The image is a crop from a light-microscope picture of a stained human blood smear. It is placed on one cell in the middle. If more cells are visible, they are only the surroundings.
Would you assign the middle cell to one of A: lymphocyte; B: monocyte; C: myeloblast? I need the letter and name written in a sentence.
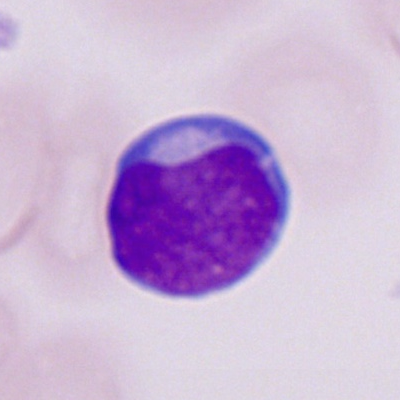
Given that the cell in the middle is a myeloblast, option C is correct.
